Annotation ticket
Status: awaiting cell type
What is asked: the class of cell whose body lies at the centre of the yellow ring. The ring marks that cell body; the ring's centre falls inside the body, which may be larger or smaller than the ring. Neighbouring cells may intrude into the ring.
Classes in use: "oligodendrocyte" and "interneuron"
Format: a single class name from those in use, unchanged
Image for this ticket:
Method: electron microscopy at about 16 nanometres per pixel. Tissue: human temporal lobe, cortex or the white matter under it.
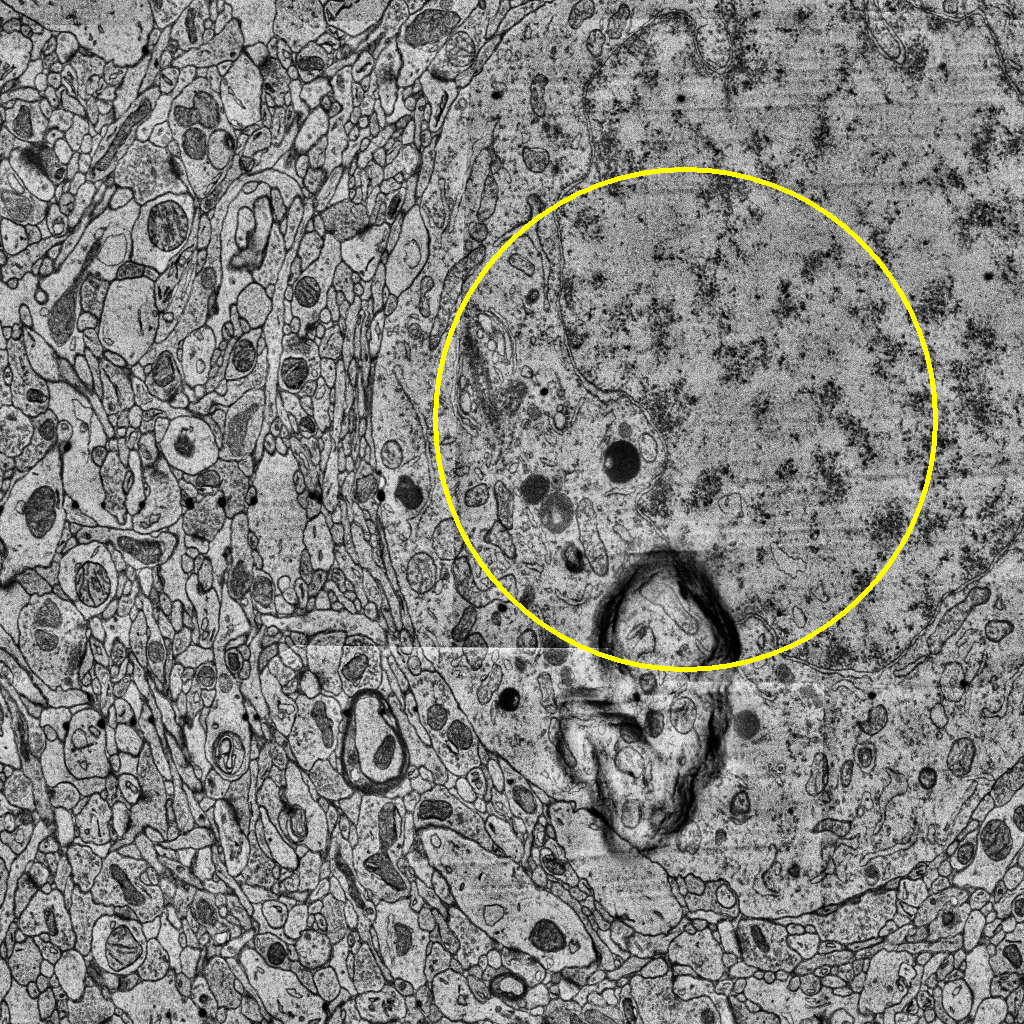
interneuron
